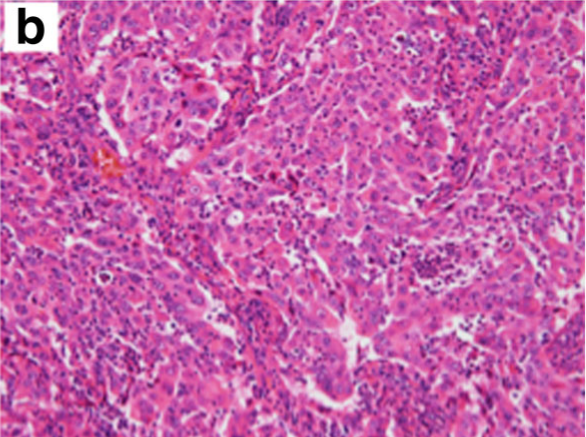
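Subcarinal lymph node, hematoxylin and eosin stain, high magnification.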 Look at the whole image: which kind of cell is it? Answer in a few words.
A: cancer cells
